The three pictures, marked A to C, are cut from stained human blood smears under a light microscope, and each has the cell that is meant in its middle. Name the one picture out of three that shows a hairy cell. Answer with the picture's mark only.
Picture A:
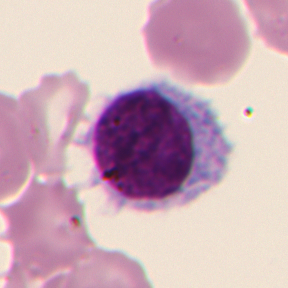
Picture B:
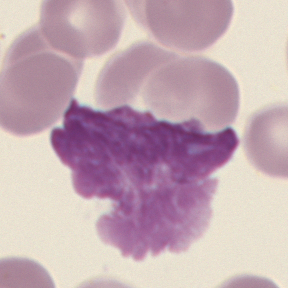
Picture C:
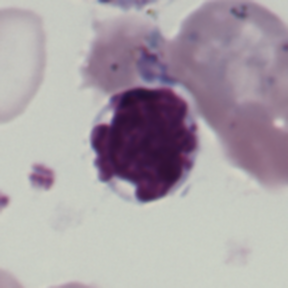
A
